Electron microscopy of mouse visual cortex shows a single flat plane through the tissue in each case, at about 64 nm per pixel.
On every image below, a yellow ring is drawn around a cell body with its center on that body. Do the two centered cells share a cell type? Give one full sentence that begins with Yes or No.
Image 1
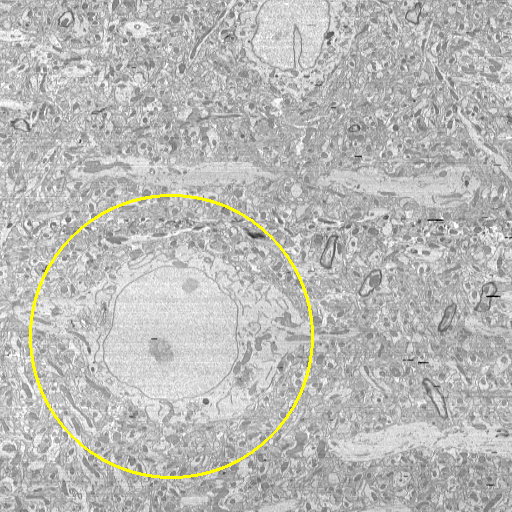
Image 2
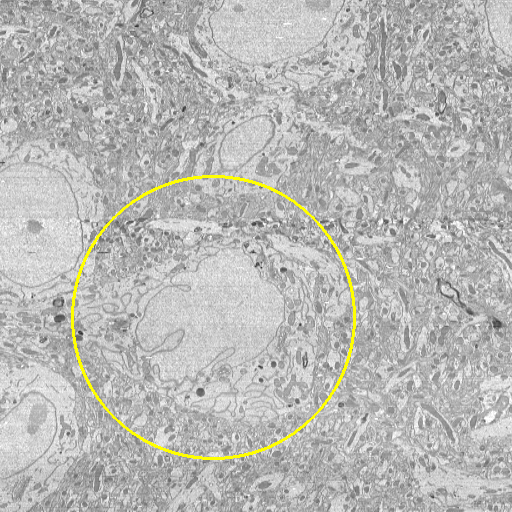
No, the centered cells in the two images are of two separate cell types.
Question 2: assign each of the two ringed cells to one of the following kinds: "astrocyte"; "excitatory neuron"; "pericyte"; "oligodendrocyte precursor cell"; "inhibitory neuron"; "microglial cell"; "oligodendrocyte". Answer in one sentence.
The two cells are an excitatory neuron in the first picture and an inhibitory neuron in the second.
